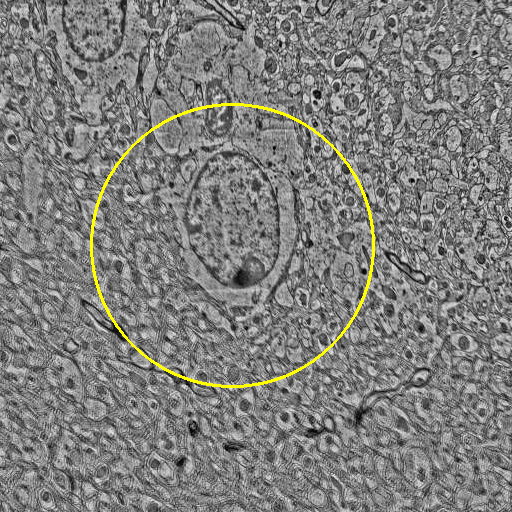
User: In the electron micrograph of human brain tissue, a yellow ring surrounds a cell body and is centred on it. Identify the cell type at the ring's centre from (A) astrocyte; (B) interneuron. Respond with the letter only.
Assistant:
A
